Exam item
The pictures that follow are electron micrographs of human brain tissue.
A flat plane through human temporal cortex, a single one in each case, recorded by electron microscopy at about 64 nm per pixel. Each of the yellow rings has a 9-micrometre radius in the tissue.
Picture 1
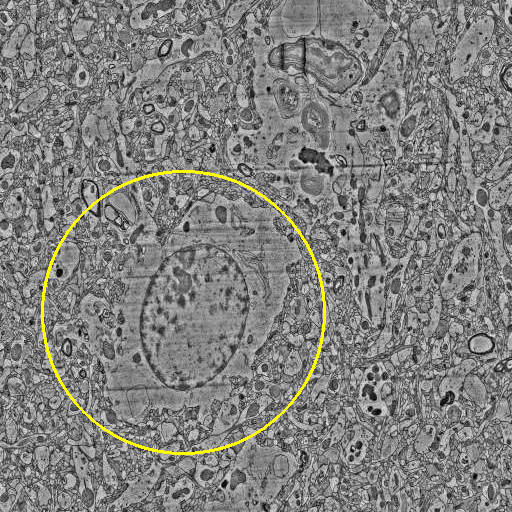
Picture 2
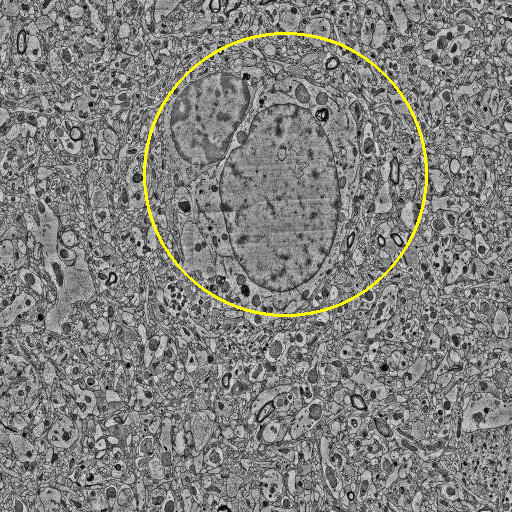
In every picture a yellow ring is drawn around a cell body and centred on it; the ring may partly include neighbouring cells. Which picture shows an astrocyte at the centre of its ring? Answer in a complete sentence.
The cell at the centre of the ring in Picture 1 is the one asked for.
